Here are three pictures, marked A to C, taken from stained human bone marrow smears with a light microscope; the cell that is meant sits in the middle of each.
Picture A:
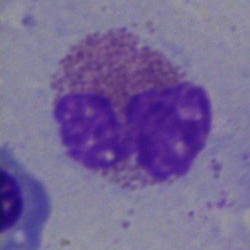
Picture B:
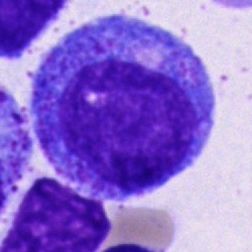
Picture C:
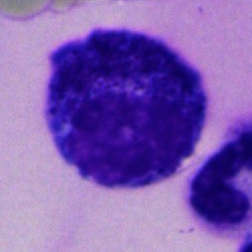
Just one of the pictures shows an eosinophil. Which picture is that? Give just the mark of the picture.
A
